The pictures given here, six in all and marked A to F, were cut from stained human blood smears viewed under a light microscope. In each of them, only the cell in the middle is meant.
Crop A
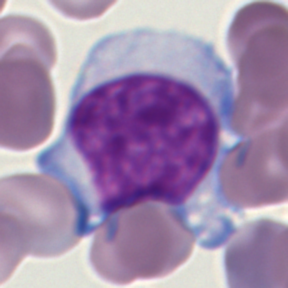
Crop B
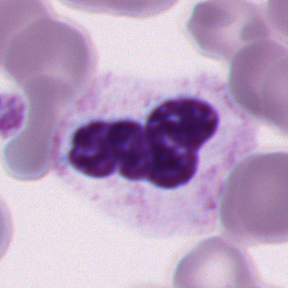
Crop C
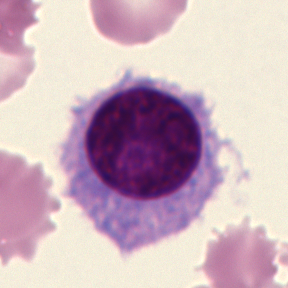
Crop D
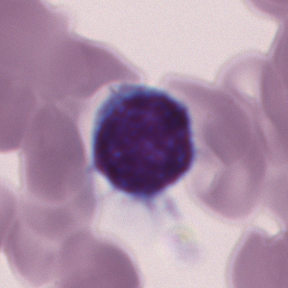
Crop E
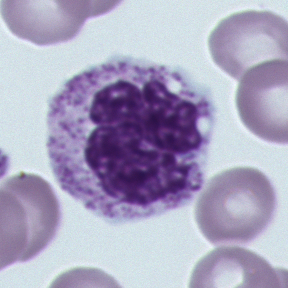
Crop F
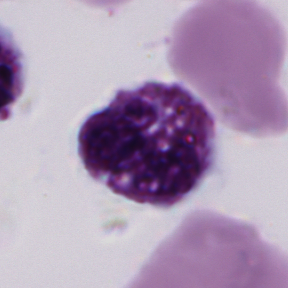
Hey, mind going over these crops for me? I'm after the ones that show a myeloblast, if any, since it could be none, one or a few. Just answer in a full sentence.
Of all the crops, only crop A shows a myeloblast.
